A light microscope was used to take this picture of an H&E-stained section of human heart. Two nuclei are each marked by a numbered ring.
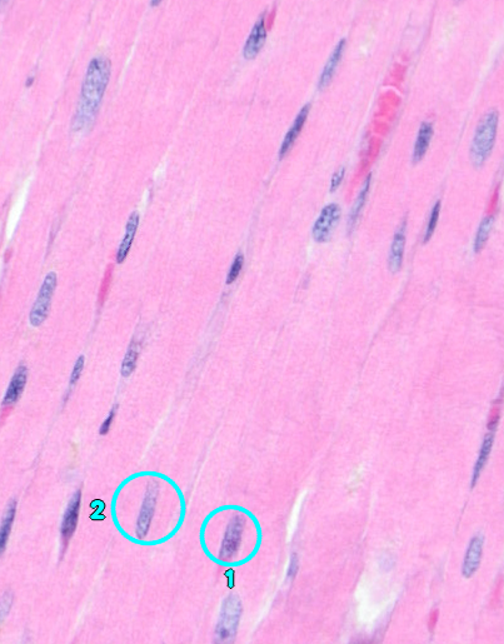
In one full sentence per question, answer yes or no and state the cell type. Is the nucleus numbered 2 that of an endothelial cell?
No, cell 2 is a cardiomyocyte; it is not an endothelial cell.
